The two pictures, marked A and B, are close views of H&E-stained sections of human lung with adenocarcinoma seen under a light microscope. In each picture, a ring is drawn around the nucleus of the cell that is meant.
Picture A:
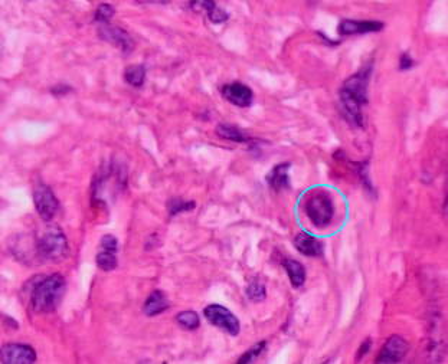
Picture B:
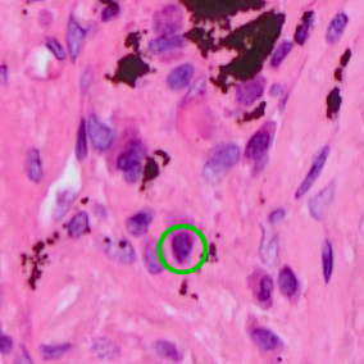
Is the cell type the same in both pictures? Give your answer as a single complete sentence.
Yes, they are the same type: both are plasma cells.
